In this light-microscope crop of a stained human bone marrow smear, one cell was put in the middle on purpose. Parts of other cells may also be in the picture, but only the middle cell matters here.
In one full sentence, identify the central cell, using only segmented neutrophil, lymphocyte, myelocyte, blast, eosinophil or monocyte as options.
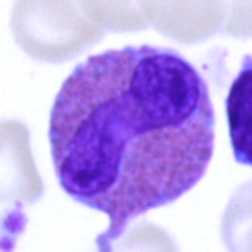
In the middle of this smear crop, the cell is an eosinophil.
